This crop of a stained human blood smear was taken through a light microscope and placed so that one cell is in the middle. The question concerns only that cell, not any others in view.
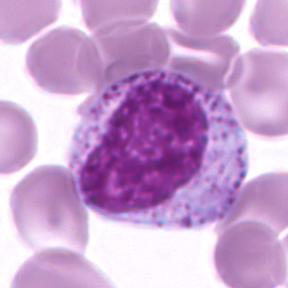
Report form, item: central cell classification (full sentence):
This crop's central cell is a myelocyte.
